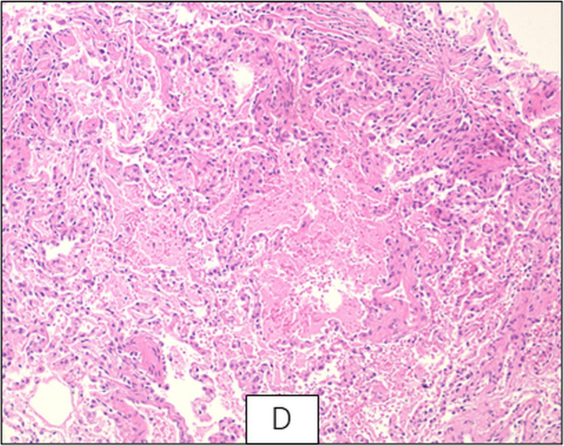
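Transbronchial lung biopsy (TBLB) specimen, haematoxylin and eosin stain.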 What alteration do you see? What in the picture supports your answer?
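Fine eosinophilic granular deposits. Pale pink, finely granular material fills airspaces in the centre of the field. The material is acellular, lying between cellular septa.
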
